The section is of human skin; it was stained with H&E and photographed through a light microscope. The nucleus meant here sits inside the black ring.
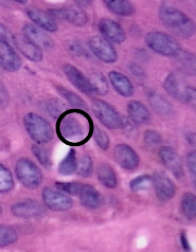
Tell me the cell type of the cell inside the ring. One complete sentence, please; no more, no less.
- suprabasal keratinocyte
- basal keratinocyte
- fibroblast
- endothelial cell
Considered by cell type, the cell inside the ring is a basal keratinocyte.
